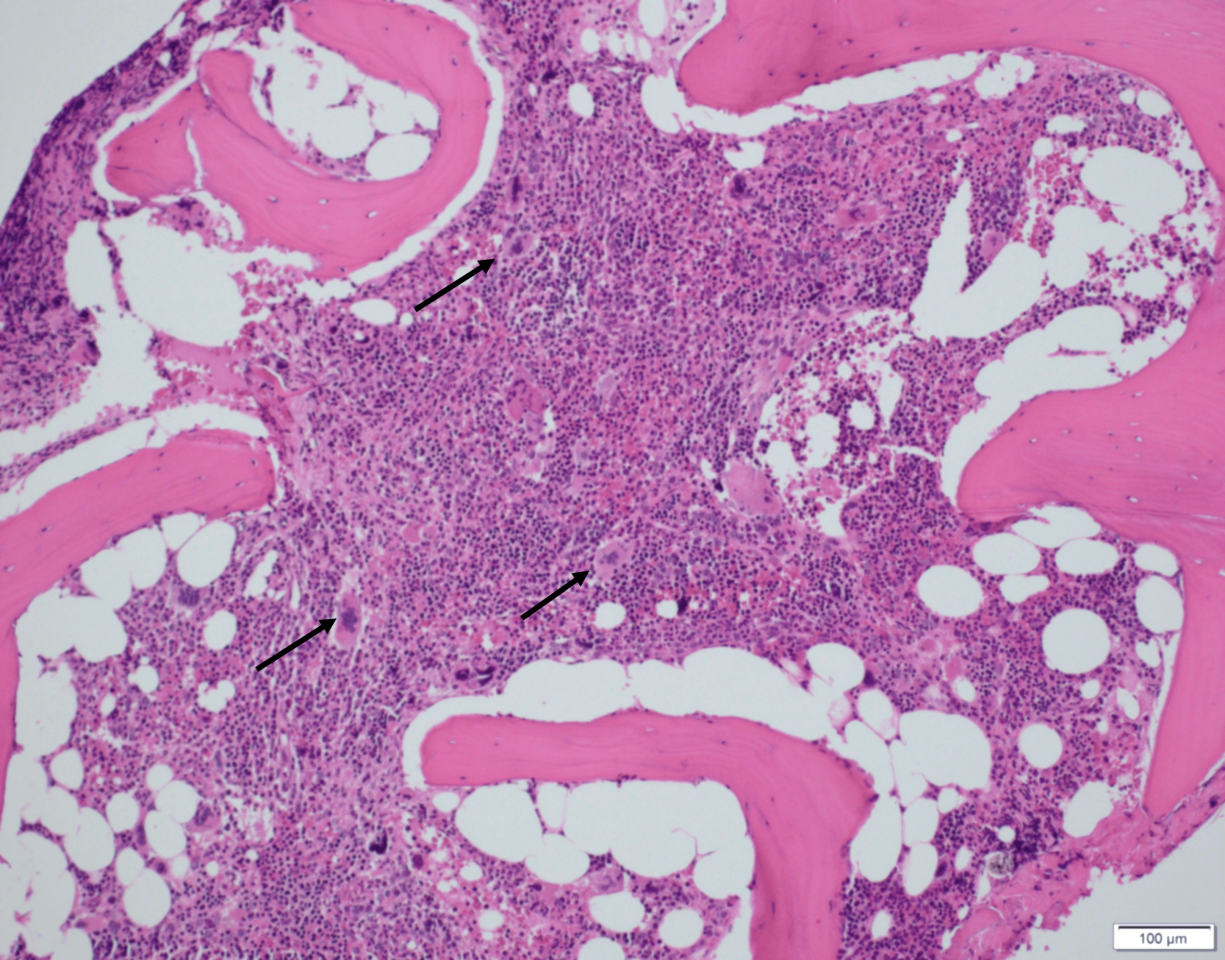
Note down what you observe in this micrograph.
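This is a bone marrow core biopsy, with pink trabeculae of bone enclosing marrow spaces that are crowded with blood-forming cells. The bone is smooth and evenly eosinophilic, with small flattened lacunae scattered through it. Between the trabeculae, a dense sheet of small cells with dark purple nuclei fills most of the space, while round empty fat vacuoles remain mainly near the bone surfaces and edges. Scattered among the small cells are several much larger megakaryocytes with plentiful pink cytoplasm and dark, irregular nuclei, some of which are marked by arrows. Small red blood cells are seen in places between the hematopoietic cells.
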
